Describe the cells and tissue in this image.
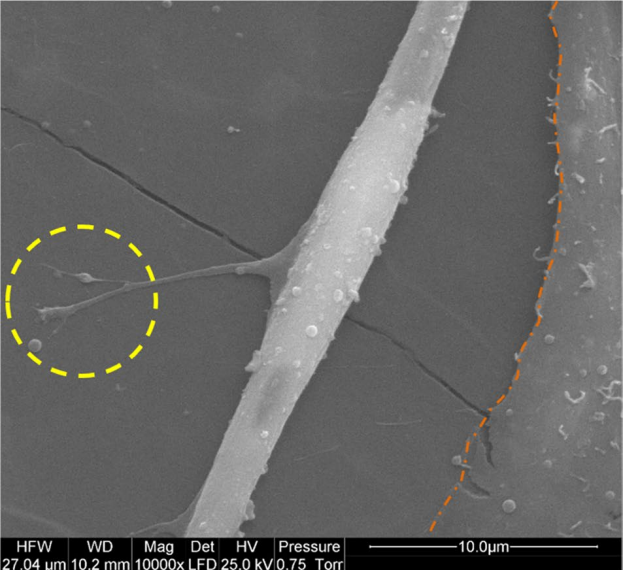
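Under the scanning electron microscope a long, cylindrical cell body runs diagonally across a flat, cracked substrate, its surface studded with small round blebs. From its side a thin branching process reaches out to the left and ends in a small tip on the substrate, while at the right edge lies the border of a flatter cell sheet with small surface projections.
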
